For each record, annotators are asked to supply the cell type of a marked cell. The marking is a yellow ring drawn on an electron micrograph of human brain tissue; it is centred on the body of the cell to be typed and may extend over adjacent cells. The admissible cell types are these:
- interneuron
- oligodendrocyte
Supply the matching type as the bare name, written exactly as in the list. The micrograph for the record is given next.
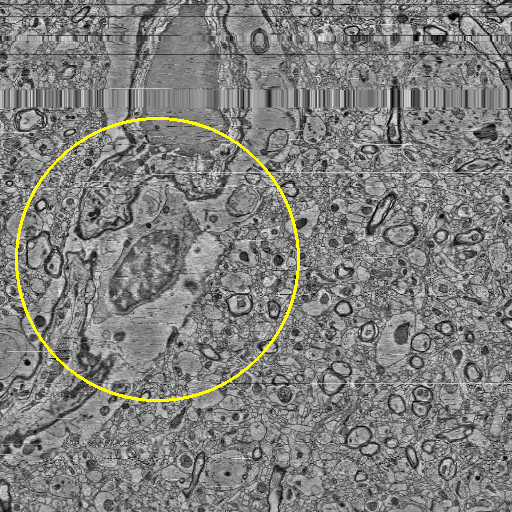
oligodendrocyte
